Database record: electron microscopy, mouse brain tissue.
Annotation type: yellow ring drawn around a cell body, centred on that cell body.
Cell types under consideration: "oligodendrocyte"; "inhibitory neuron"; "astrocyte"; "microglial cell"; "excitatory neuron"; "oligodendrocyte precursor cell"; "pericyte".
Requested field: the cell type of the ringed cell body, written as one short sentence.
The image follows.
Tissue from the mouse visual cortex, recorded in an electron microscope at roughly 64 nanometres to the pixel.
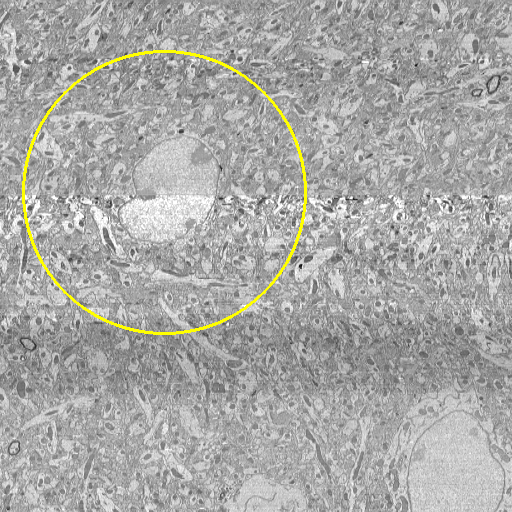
The ringed cell body represents an astrocyte.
